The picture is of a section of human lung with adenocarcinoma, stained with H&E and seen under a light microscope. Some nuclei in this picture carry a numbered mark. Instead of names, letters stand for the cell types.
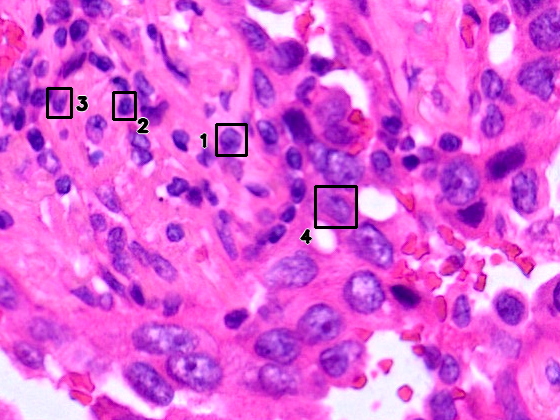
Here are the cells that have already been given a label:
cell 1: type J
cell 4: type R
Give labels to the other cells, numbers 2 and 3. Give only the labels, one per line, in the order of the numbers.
type J
type J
